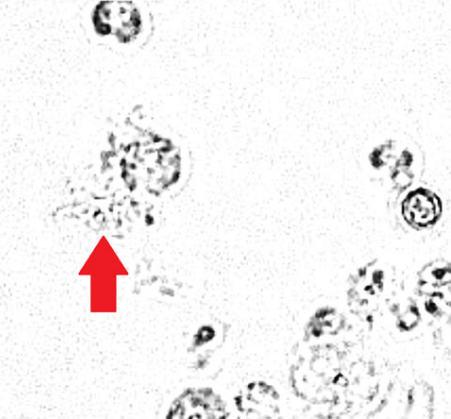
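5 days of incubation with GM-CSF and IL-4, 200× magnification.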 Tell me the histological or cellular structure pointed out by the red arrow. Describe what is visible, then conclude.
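A cell has a pale, irregular, frayed outline. Fine membrane extensions spread from the cell body. That points to this answer: pseudopods.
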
